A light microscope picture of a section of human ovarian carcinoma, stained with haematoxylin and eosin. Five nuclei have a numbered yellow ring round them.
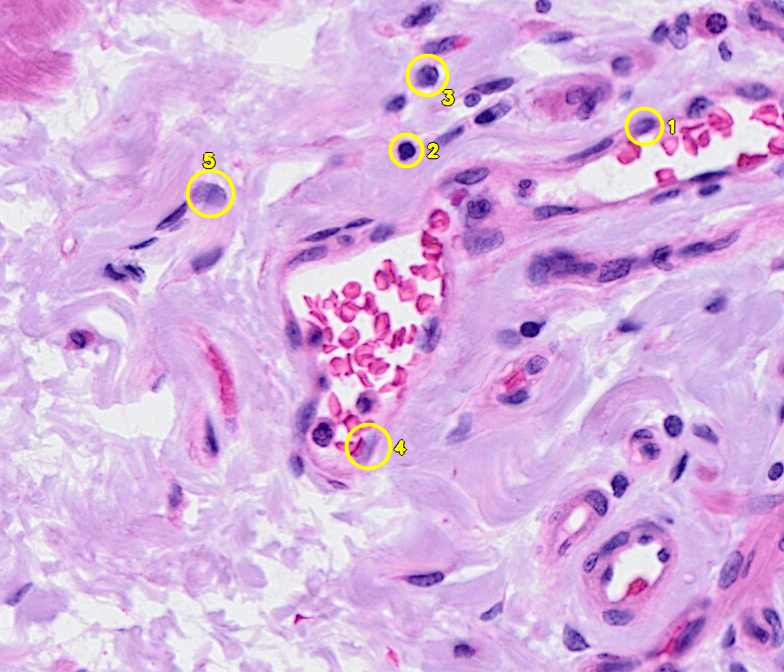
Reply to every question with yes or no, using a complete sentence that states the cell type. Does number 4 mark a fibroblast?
No, at number 4 sits an endothelial cell, not a fibroblast.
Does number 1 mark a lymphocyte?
No, as for cell 1, it is an endothelial cell and not a lymphocyte.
